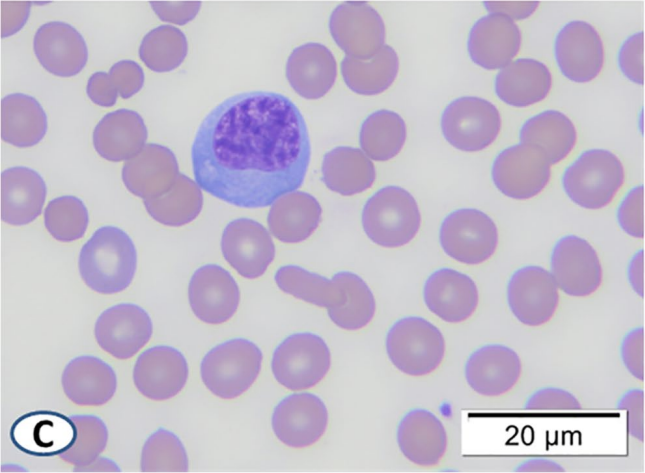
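The cell is round, somewhat larger than red cells, with a round nucleus set toward one side. Chromatin is coarsely clumped in a patchy purple pattern. Cytoplasm is moderately abundant and deeply blue, gathered mainly on one side of the nucleus, with a smooth rounded outline; a paler zone lies next to the nucleus.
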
